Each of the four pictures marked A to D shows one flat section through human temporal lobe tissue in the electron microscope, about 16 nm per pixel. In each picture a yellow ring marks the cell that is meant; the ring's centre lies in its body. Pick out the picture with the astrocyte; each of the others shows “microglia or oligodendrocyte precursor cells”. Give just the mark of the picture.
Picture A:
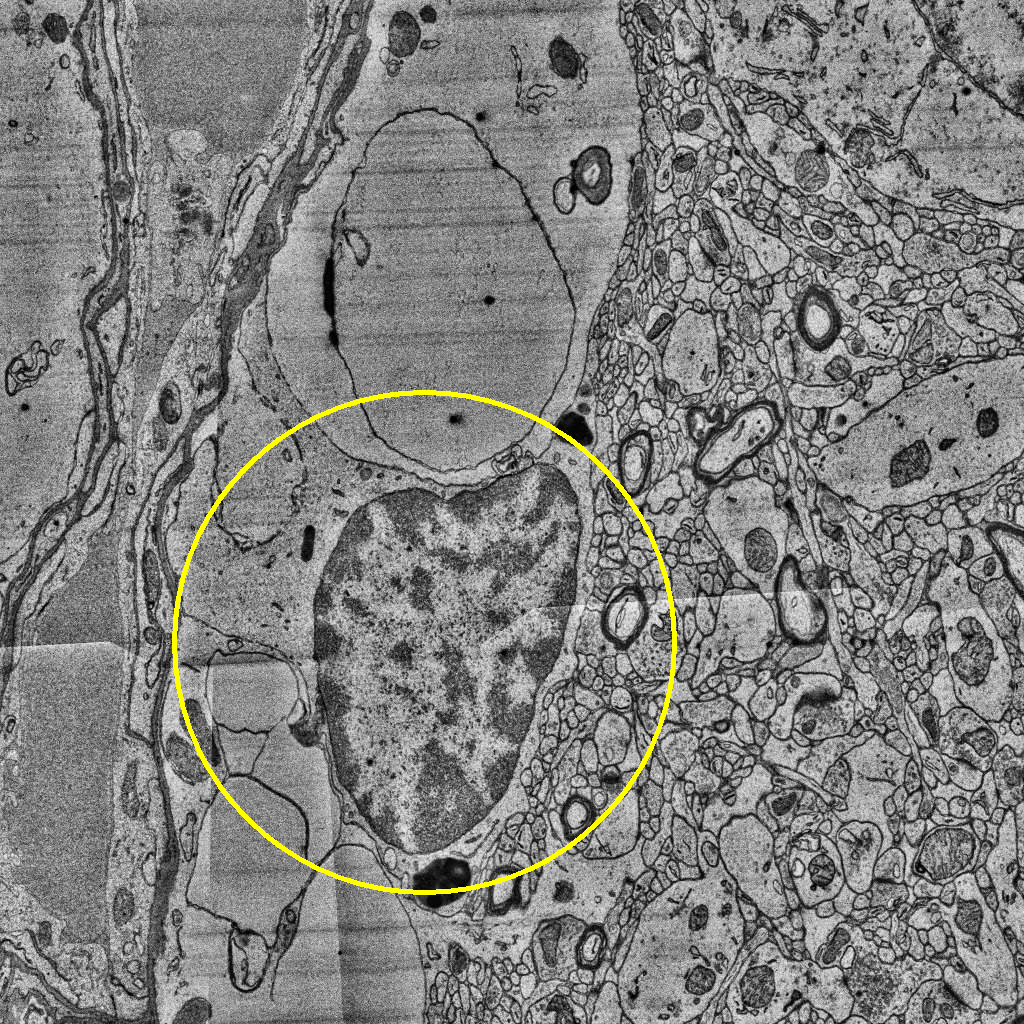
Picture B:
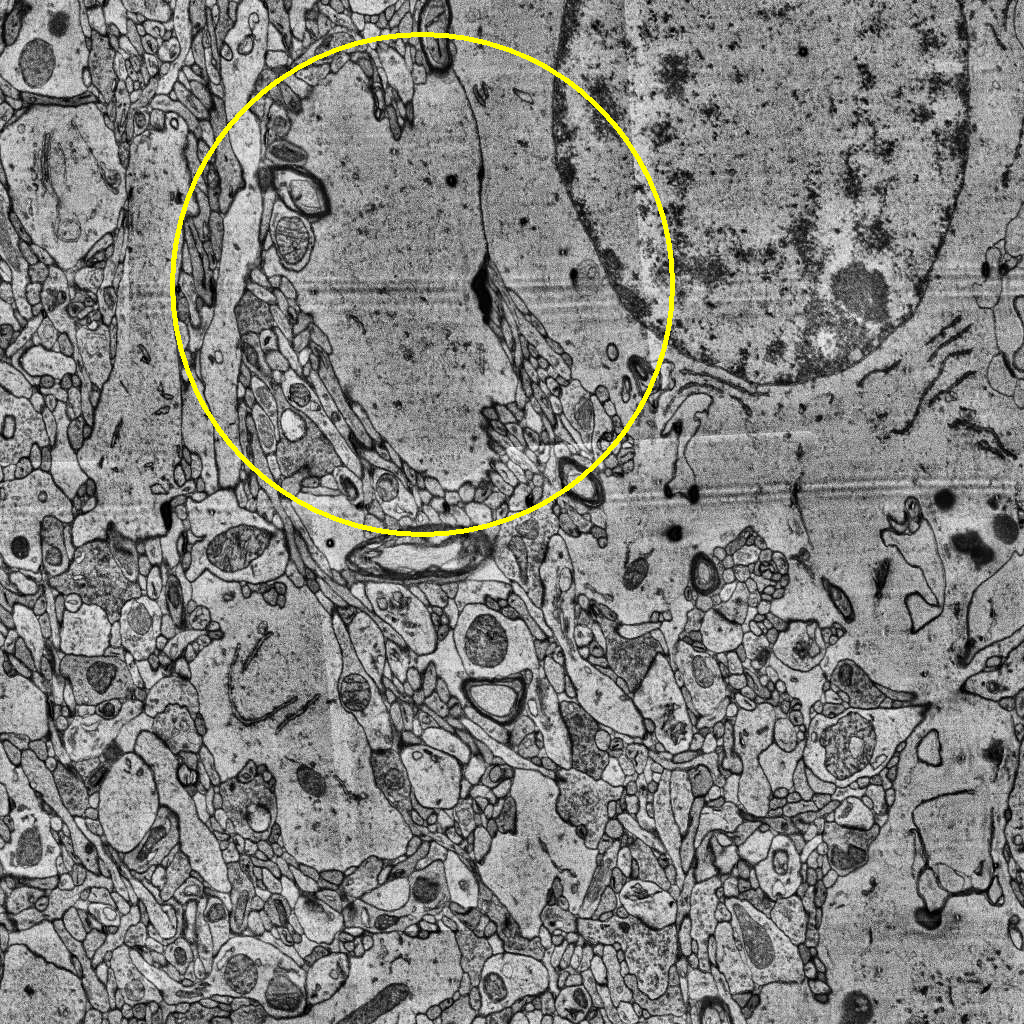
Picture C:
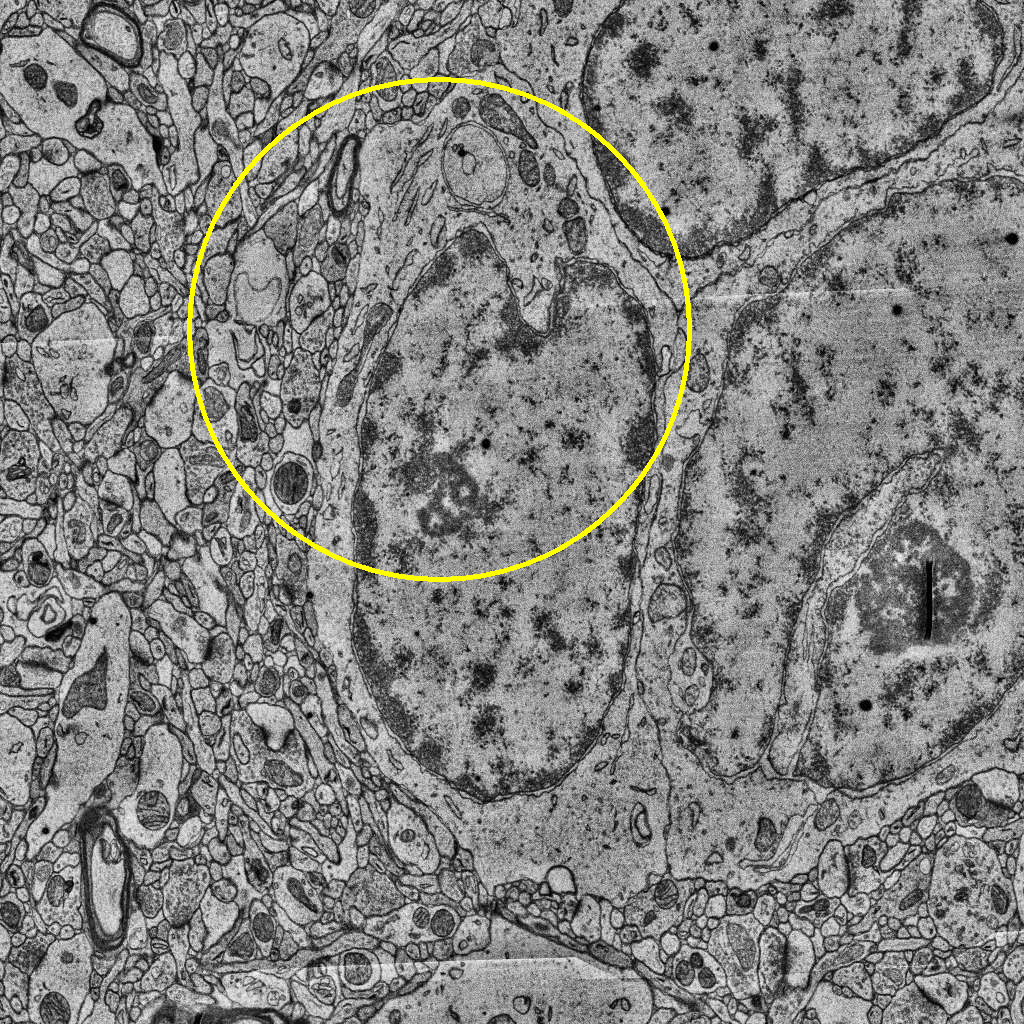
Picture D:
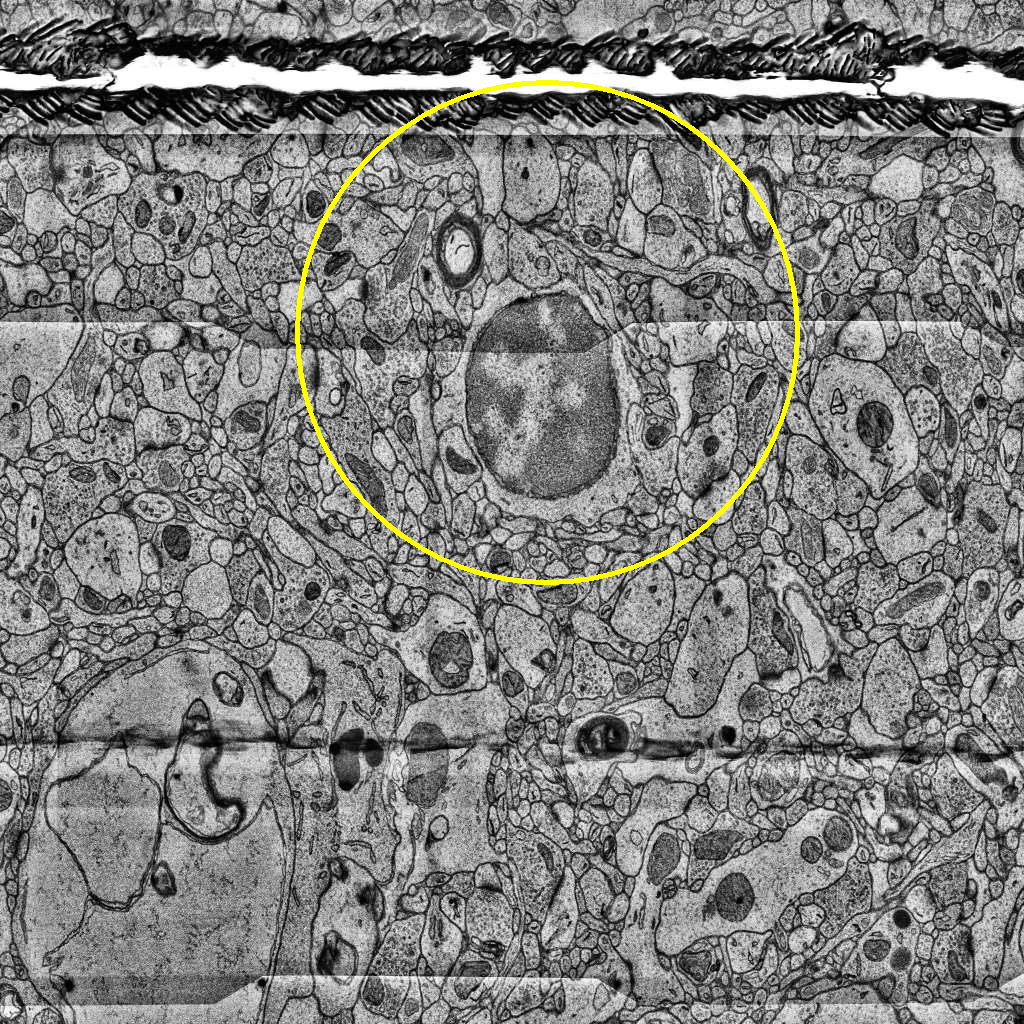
B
